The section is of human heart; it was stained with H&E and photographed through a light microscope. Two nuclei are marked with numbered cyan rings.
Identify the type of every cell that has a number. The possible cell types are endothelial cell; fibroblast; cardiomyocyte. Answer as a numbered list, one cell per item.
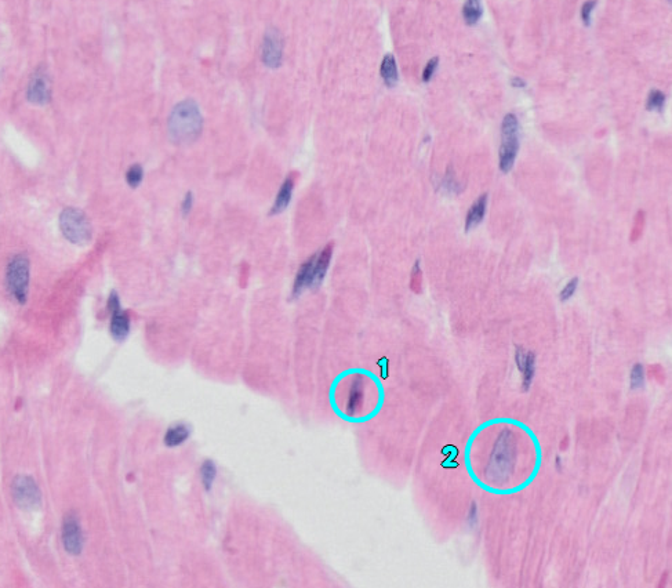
1. endothelial cell
2. cardiomyocyte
